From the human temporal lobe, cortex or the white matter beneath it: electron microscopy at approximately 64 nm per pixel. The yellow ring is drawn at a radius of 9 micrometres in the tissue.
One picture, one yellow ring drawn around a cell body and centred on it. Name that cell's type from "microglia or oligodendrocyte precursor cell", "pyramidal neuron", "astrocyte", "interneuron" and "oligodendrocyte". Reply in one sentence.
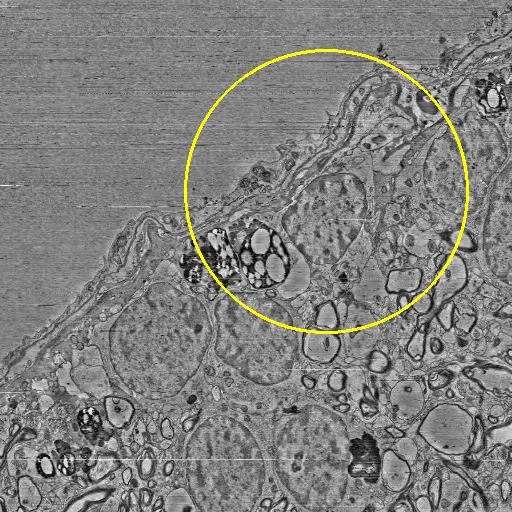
Centred in the ring is a microglial cell or oligodendrocyte precursor cell.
